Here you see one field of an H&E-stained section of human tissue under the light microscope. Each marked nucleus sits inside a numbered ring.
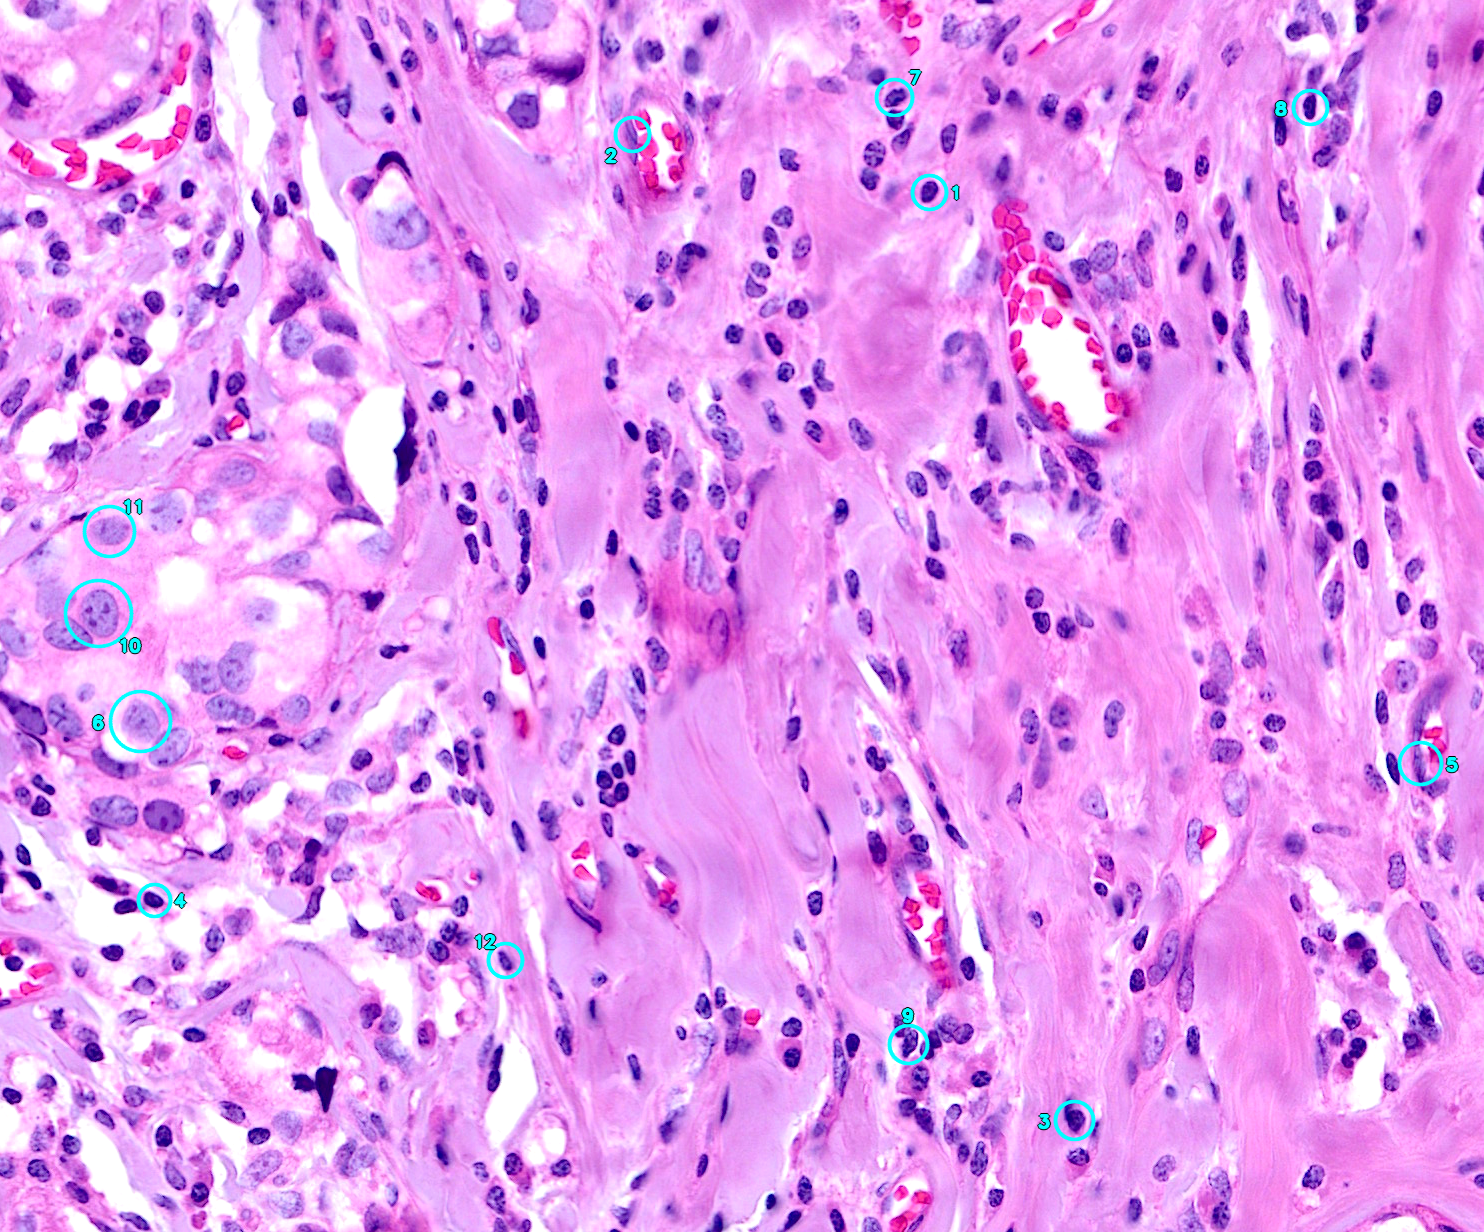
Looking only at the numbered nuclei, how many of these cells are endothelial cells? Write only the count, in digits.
2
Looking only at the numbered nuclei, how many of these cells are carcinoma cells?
3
